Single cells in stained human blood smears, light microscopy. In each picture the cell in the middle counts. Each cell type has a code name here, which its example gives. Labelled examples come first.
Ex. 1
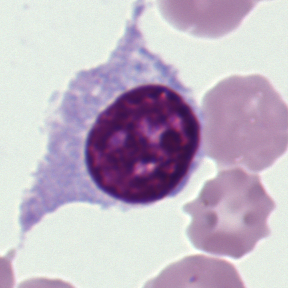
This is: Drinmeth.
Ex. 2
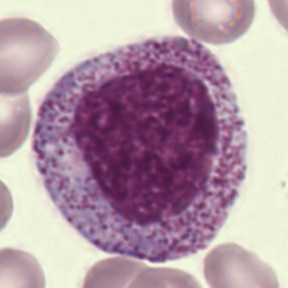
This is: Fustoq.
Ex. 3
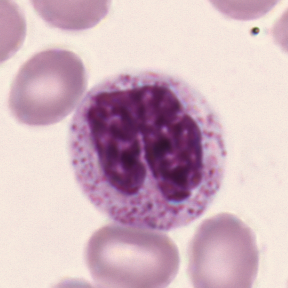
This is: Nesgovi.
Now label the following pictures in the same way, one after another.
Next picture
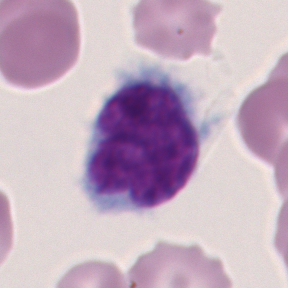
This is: Drinmeth.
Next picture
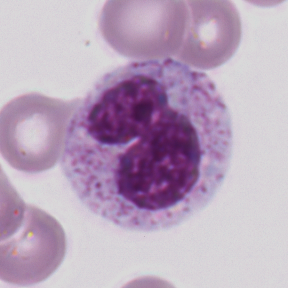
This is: Nesgovi.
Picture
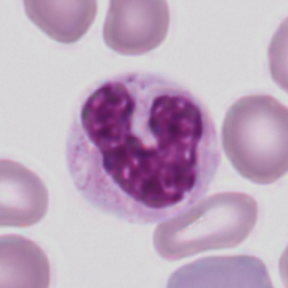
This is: Nesgovi.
